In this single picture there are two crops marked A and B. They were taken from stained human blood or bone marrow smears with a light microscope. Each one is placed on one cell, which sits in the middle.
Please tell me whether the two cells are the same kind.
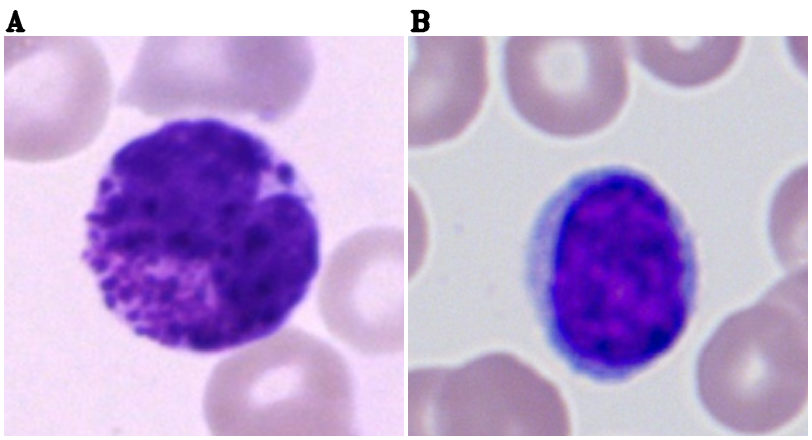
no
